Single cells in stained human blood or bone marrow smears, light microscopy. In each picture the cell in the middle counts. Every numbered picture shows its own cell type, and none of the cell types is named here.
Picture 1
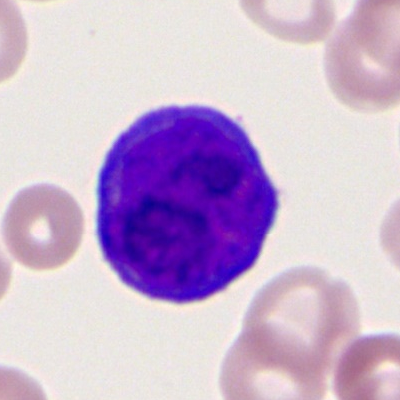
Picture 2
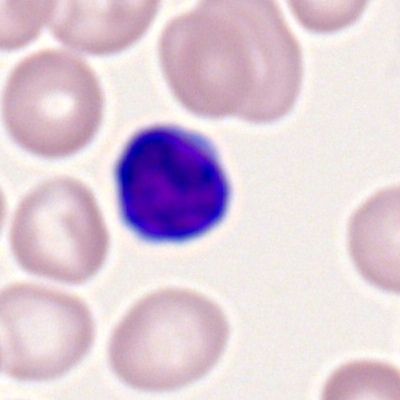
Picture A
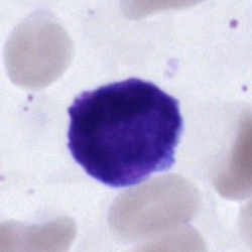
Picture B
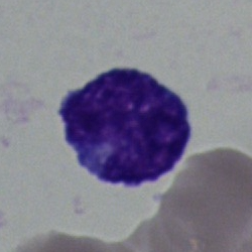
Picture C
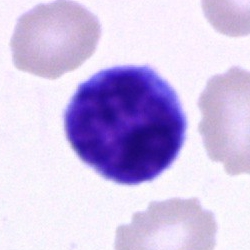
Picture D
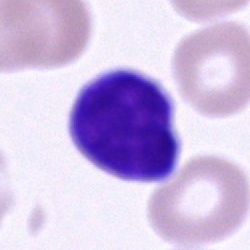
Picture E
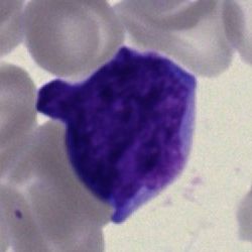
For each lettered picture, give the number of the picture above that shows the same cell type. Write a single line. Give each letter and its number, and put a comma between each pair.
A 2, B 1, C 2, D 2, E 1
